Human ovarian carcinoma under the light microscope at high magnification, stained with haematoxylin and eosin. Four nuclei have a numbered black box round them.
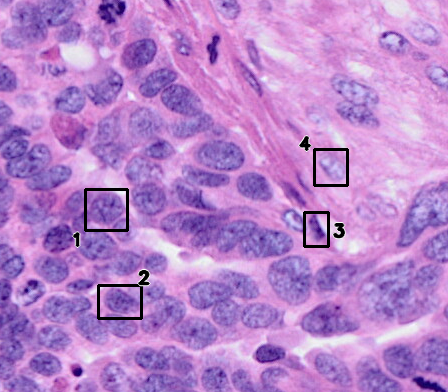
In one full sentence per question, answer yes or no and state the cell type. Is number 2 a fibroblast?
No, it is a carcinoma cell, not a fibroblast, at number 2.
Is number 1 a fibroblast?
No, the cell numbered 1 is a carcinoma cell rather than a fibroblast.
